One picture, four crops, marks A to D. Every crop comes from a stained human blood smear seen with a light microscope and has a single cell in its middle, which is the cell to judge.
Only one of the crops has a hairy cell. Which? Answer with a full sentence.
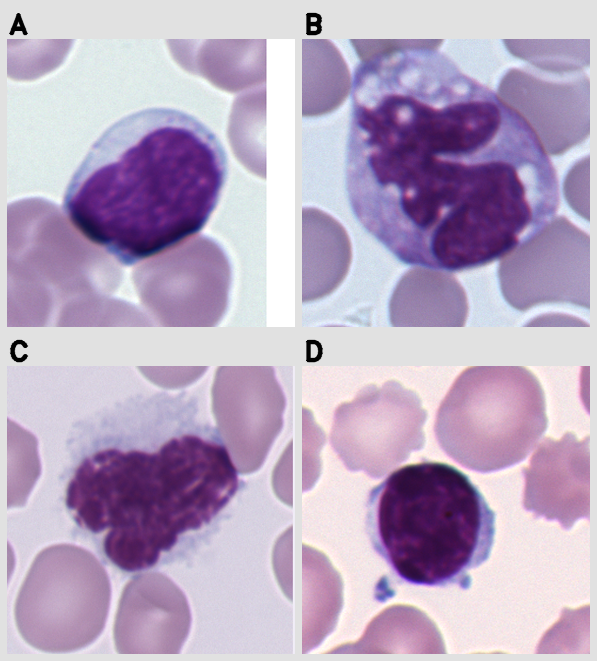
The crop marked C is the one that shows a hairy cell.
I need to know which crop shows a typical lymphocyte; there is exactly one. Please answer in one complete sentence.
Among all the crops given here, the one with a typical lymphocyte is crop D.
